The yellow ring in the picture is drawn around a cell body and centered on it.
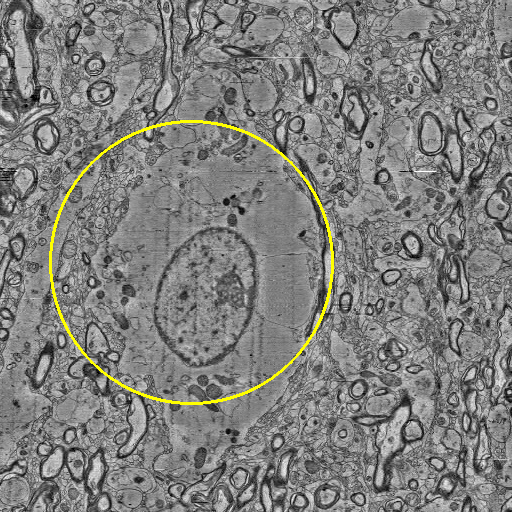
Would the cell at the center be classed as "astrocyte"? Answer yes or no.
Yes, it belongs to that class.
